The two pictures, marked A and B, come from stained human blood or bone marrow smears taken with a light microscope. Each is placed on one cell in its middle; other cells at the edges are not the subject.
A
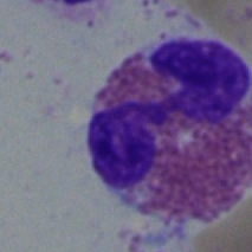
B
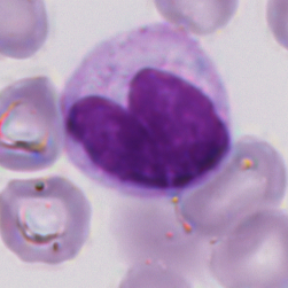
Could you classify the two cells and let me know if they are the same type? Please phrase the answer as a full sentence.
No, the correct reading is an eosinophil in crop A and a band neutrophil in crop B.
